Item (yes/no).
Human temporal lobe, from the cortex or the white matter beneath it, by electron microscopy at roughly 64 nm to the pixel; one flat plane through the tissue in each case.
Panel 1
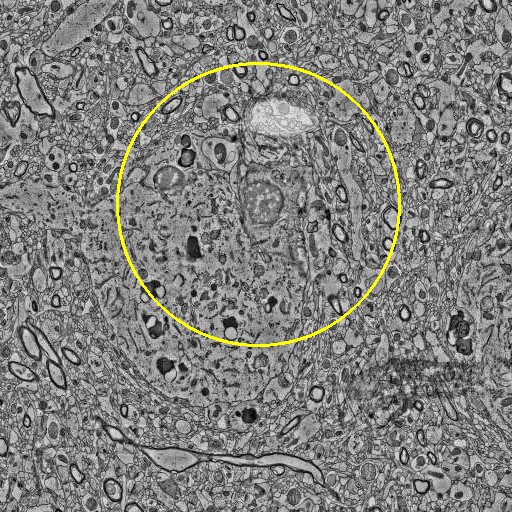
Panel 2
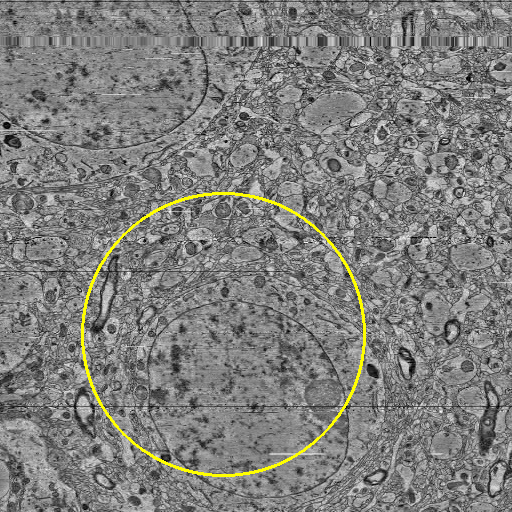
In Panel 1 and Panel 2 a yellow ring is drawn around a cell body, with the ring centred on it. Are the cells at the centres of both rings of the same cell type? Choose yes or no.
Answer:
no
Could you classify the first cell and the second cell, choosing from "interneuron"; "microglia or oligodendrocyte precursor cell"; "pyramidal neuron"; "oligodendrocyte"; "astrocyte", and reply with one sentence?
The second cell is a pyramidal neuron, while the first is an oligodendrocyte.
